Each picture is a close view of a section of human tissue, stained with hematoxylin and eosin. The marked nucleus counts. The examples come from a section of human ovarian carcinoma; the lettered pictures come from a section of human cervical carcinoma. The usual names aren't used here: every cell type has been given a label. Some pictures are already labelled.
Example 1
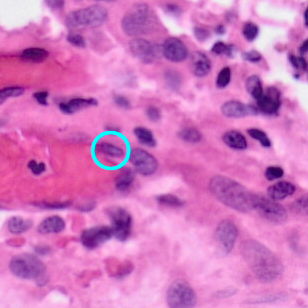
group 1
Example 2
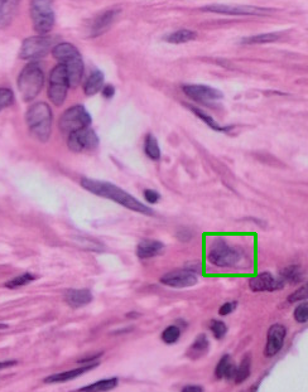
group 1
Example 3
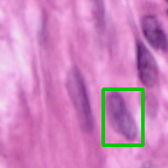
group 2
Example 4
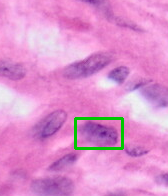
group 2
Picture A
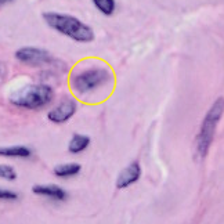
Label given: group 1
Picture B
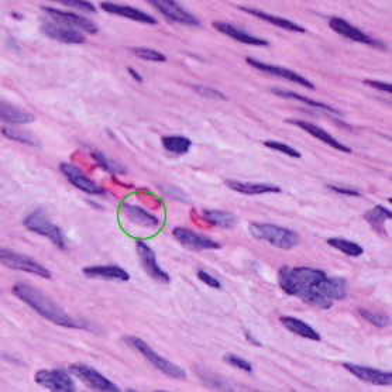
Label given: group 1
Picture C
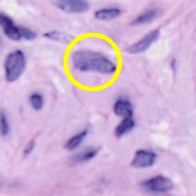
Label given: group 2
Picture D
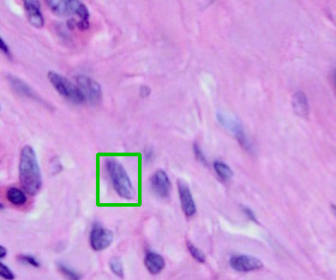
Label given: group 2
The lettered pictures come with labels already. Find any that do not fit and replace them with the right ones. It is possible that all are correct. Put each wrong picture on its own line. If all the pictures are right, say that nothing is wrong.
Nothing to fix; every label fits.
